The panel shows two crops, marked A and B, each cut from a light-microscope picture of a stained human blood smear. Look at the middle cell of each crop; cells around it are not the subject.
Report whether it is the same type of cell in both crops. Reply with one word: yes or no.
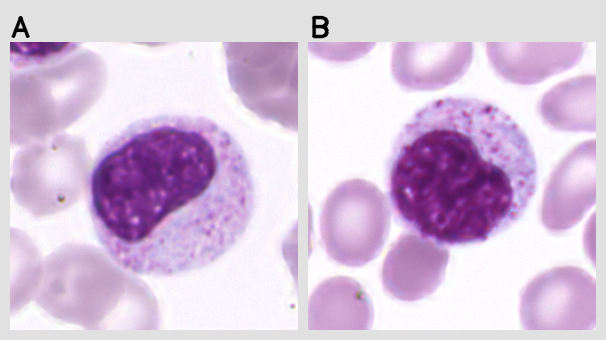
yes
